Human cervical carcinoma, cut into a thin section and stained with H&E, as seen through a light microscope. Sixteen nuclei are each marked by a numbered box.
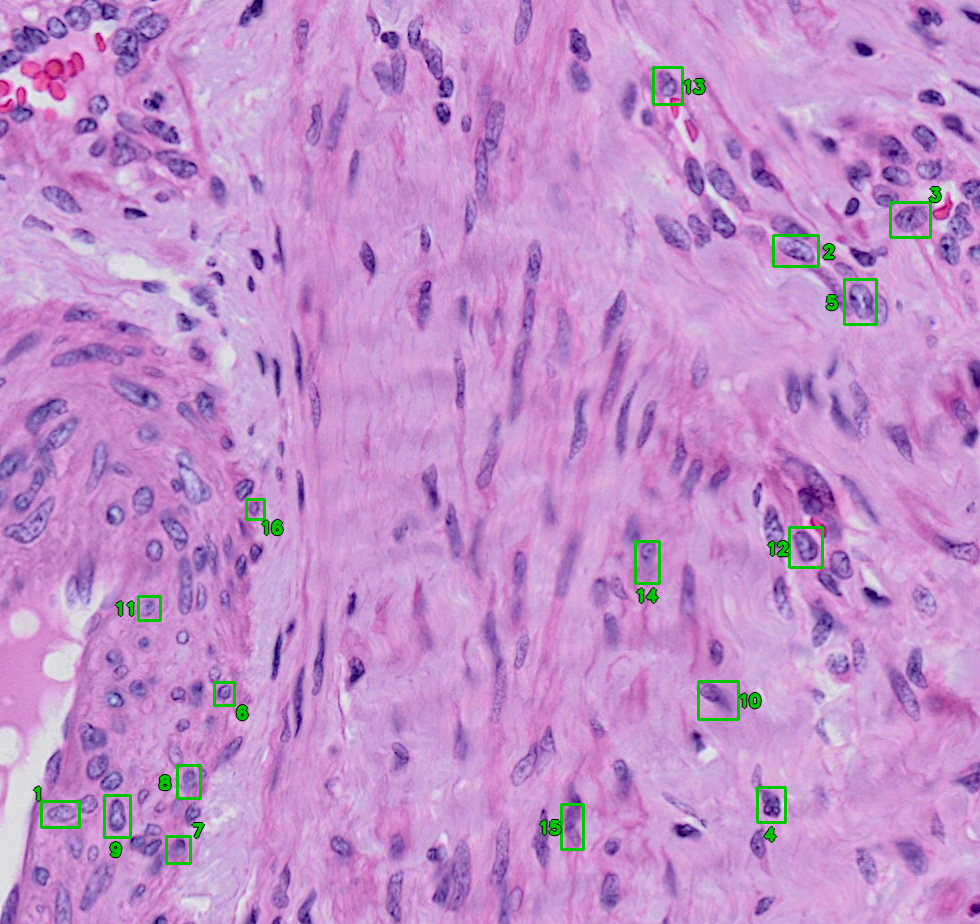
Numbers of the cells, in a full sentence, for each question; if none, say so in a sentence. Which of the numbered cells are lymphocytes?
Of the cells marked with numbers, cell 4 is the only one that is a lymphocyte.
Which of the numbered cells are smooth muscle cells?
The cells numbered 1, 6, 7, 8, 9, 11, 14, 15 and 16 are of one kind: smooth muscle cells.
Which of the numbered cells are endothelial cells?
Here, the cells that carry numbers 2, 3, 5, 12 and 13 are endothelial cells.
